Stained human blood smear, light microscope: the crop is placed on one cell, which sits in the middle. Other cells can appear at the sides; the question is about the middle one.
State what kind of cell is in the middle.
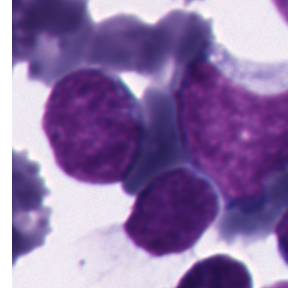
myeloblast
